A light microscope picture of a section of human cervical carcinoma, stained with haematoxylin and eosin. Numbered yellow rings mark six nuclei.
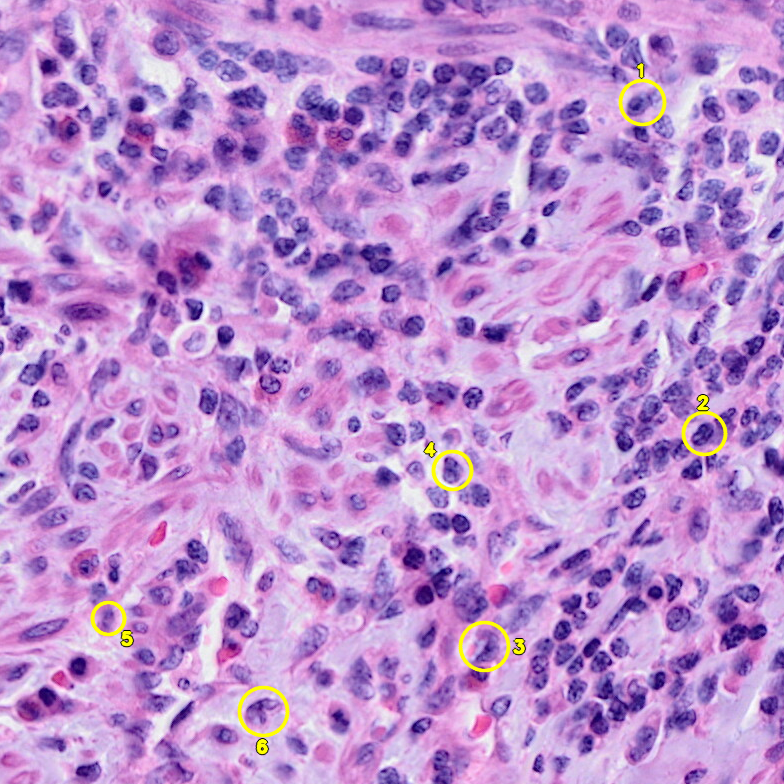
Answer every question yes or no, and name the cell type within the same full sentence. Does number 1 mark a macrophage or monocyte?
No, it is a lymphocyte, rather than a macrophage or monocyte, that carries number 1.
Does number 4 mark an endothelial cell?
No, cell 4 is a lymphocyte; it is not an endothelial cell.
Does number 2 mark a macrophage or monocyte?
No, number 2 belongs to a lymphocyte, not to a macrophage or monocyte.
